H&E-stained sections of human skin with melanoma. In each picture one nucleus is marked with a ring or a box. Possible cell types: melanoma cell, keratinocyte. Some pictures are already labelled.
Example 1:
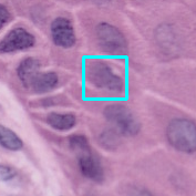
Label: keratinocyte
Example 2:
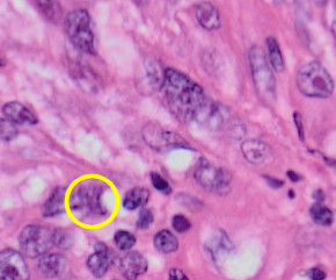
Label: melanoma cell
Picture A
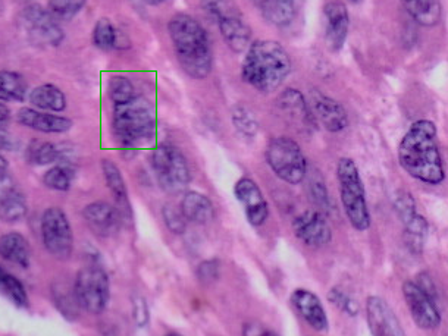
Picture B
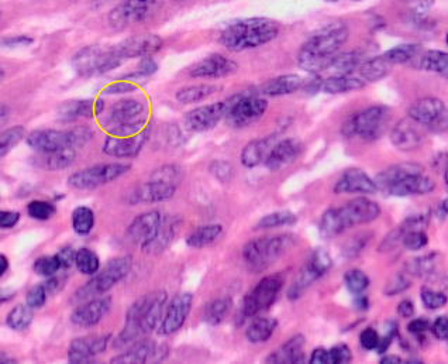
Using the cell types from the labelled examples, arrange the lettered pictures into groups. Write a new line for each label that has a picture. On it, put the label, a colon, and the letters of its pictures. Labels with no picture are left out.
melanoma cell: A, B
